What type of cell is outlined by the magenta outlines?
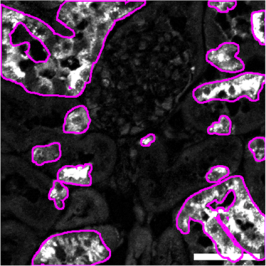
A: proximal tubule cells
